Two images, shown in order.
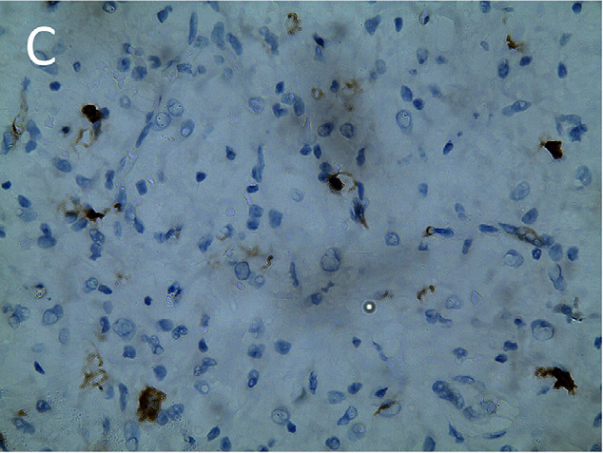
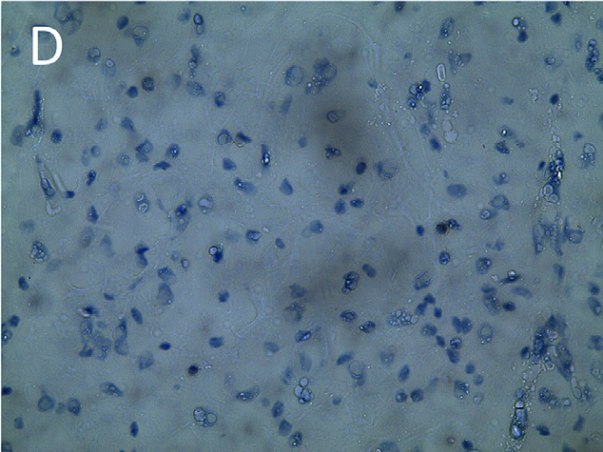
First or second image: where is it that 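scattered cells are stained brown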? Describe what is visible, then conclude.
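Second image: nuclei are blue and brown stain is essentially absent. First image: several scattered cells carry dark brown stain among blue nuclei.
Answer: the first image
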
